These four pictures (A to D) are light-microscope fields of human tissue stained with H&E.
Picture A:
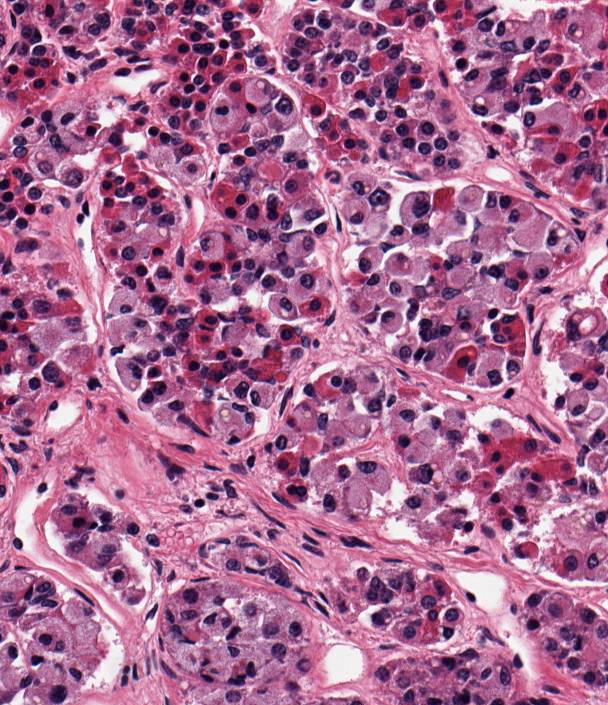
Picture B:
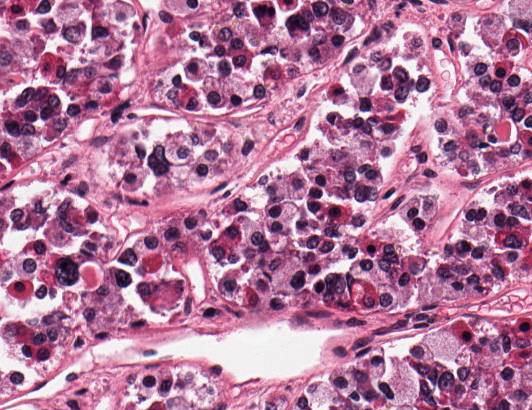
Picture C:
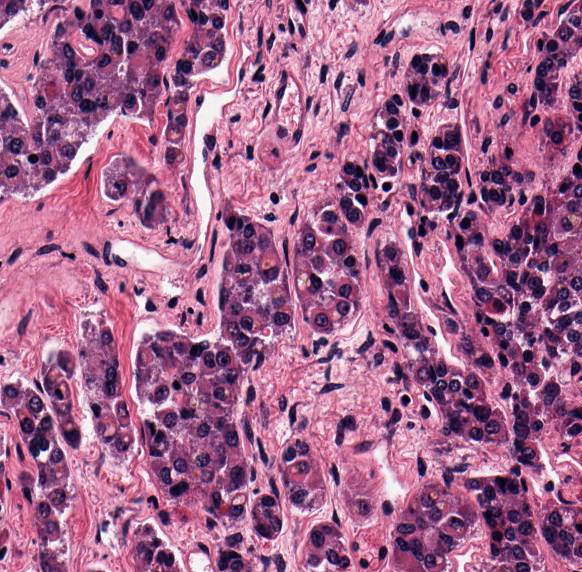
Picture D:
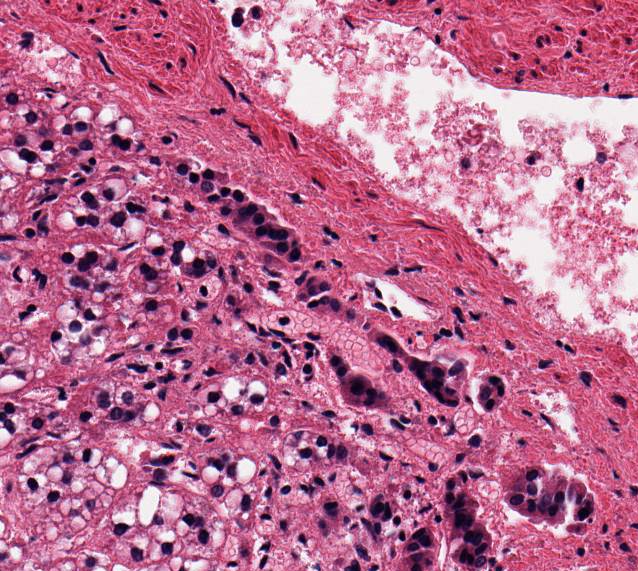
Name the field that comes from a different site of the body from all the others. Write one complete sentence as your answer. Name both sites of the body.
Unlike the rest, which come from the pituitary, picture D comes from the adrenal gland.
